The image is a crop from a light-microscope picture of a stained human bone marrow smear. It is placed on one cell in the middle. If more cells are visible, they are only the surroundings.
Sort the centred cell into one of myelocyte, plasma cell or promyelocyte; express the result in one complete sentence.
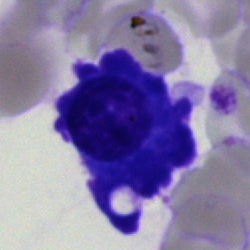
The centrally placed cell is classified as a plasma cell.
